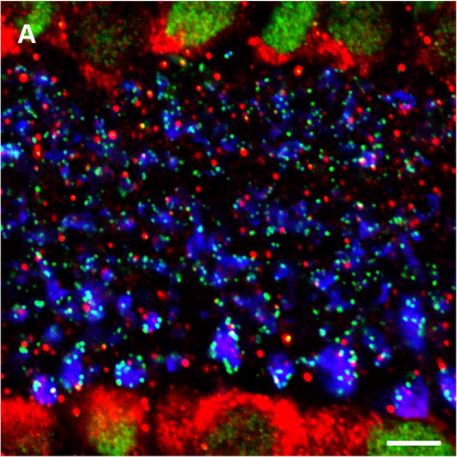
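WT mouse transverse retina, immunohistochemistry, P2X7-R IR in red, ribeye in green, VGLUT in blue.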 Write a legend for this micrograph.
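A band of synaptic neuropil lies between two rows of cell bodies, which show at the top and bottom edges as large diffuse red and green masses. Many small green puncta sit on or at the edges of the blue patches. Small round red puncta are scattered through the band, often lying beside green puncta rather than on them, with only few yellow overlaps.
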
